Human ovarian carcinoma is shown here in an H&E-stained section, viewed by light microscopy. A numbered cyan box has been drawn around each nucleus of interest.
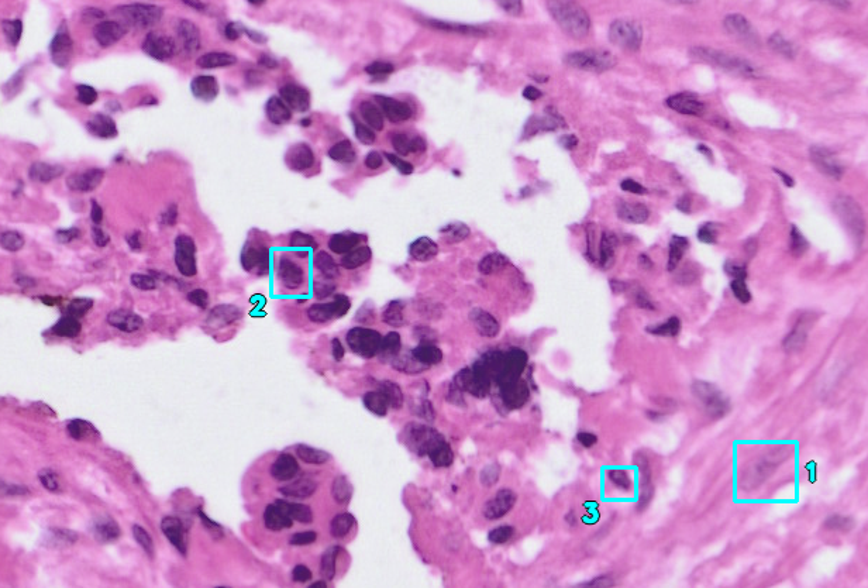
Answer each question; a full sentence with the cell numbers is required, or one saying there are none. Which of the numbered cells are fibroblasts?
The cells referred to by numbers 1 and 3 are fibroblasts.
